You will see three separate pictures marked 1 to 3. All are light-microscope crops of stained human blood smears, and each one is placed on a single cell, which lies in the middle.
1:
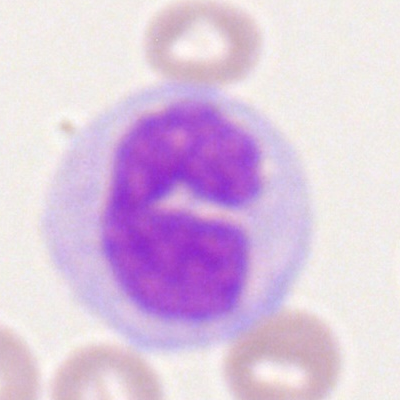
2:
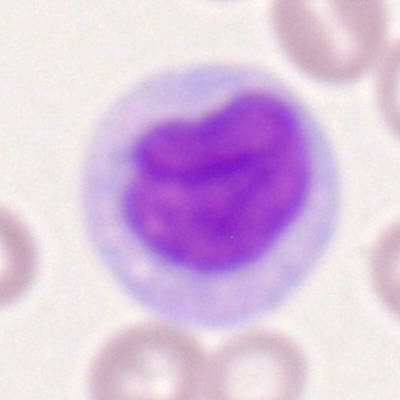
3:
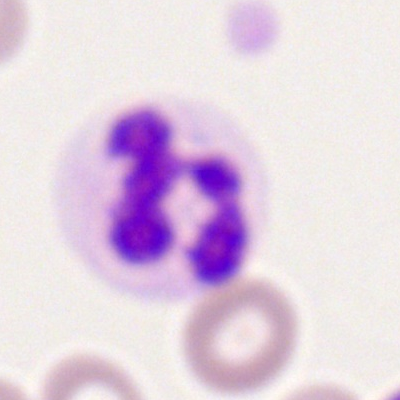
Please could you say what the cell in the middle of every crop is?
1: monocyte
2: monocyte
3: neutrophil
